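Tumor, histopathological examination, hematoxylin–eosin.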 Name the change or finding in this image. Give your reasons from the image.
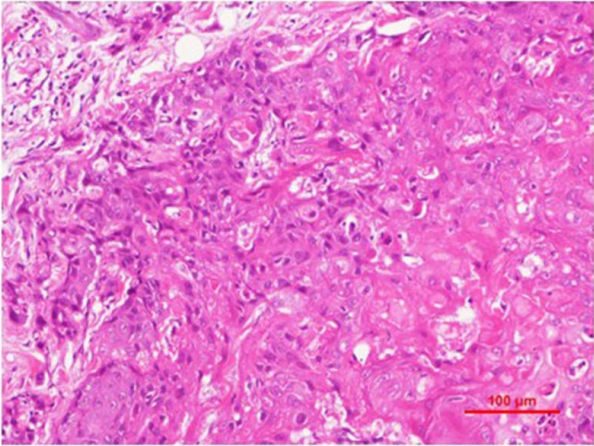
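Squamous epithelial differentiation. Large polygonal tumor cells with abundant pink cytoplasm lie in nests and sheets. The nests are set in a paler fibrous stroma.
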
